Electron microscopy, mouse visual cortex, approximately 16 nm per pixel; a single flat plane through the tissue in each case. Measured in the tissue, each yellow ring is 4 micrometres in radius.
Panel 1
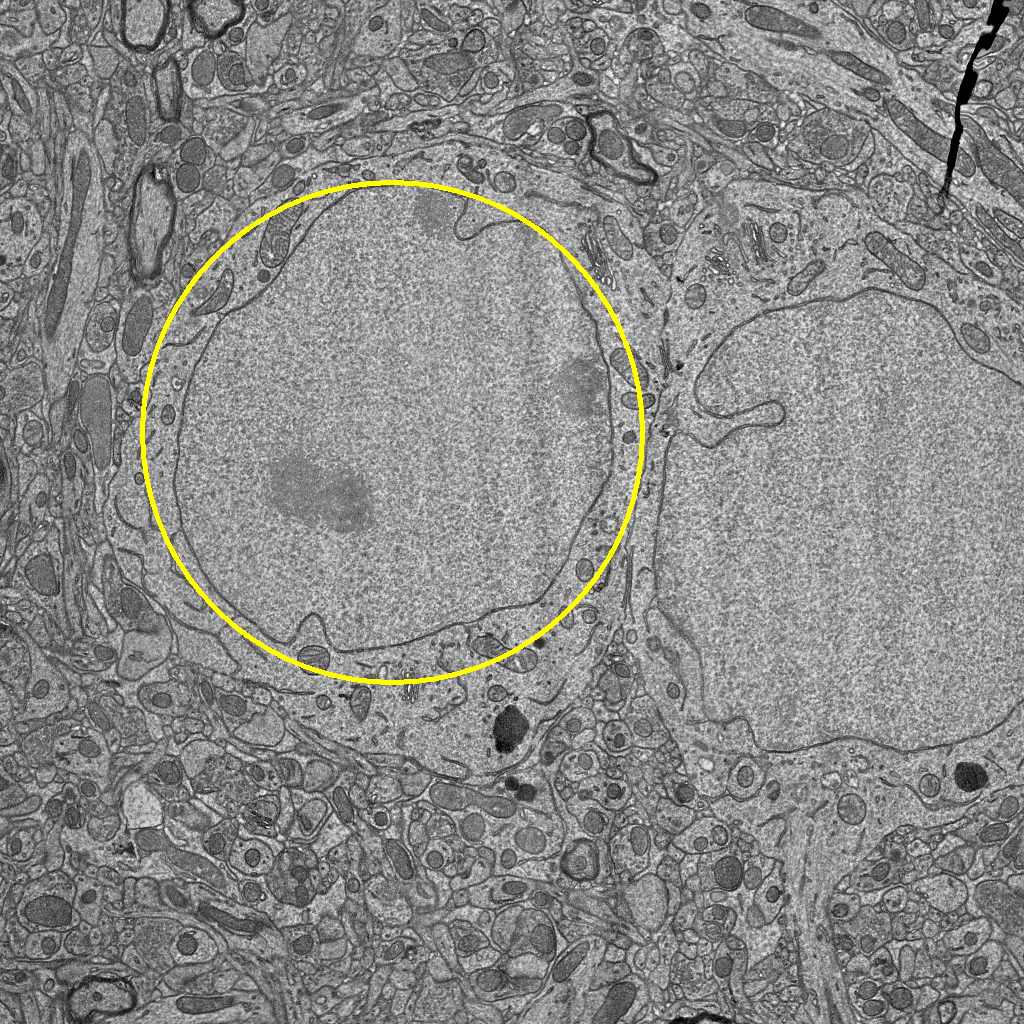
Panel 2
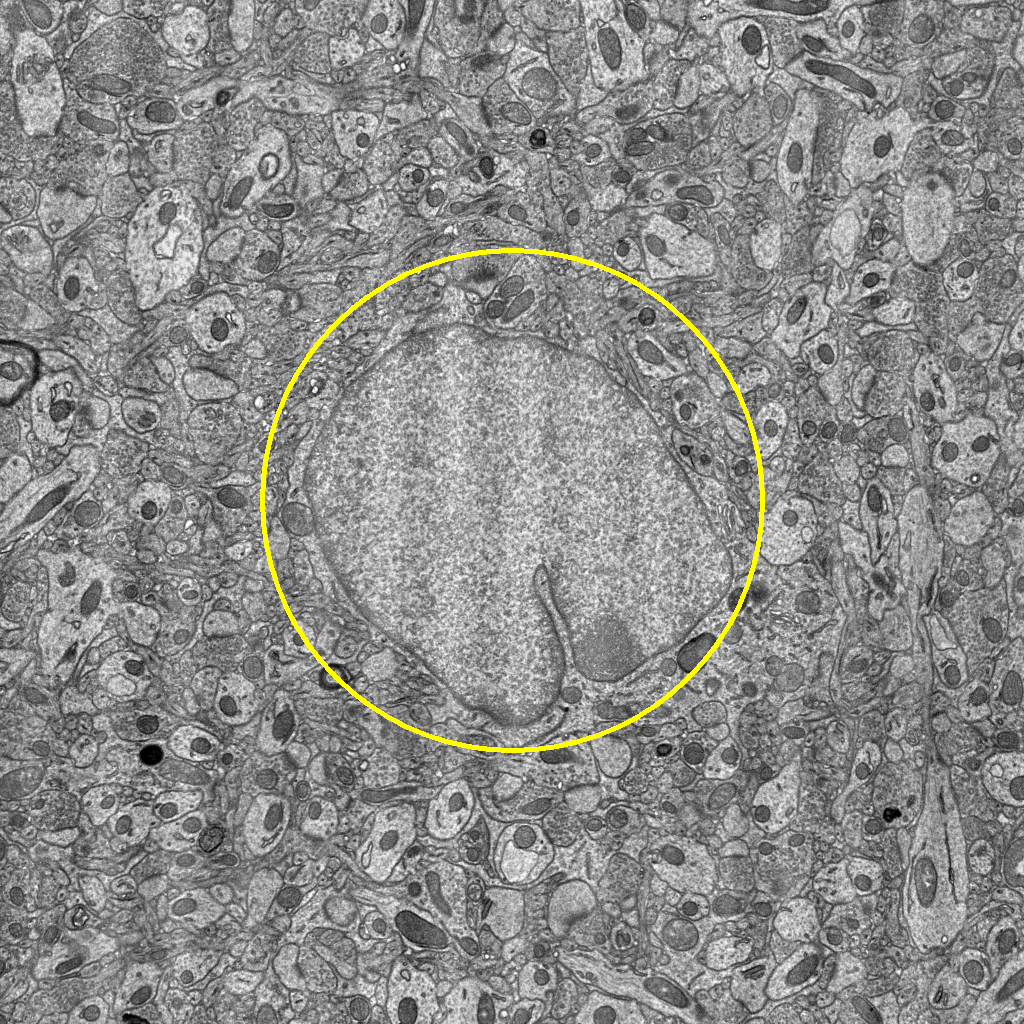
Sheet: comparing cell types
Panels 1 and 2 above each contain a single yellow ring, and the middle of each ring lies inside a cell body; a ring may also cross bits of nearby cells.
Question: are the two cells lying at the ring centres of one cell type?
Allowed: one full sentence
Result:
No, the cells at the ring centres in Panel 1 and Panel 2 are of two types.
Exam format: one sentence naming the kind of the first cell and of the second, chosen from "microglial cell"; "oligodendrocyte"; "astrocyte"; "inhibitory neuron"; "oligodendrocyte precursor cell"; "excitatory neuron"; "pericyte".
The cell in the second picture is an astrocyte, and that in the first is an excitatory neuron.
